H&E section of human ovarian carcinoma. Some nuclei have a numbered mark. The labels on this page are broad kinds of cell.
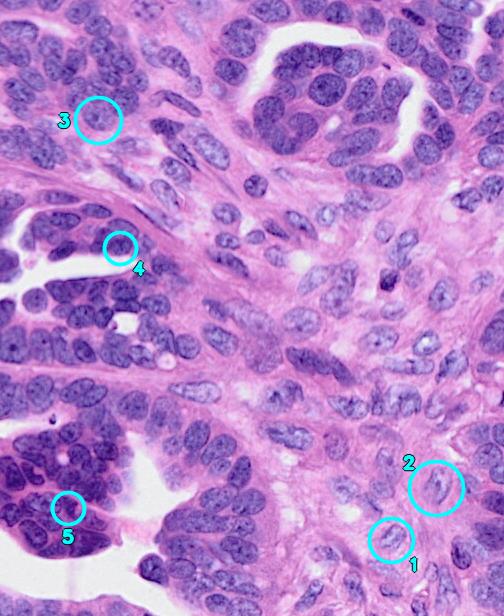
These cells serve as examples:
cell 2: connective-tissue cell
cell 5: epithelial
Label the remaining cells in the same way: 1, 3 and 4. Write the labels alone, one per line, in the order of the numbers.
connective-tissue cell
epithelial
epithelial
